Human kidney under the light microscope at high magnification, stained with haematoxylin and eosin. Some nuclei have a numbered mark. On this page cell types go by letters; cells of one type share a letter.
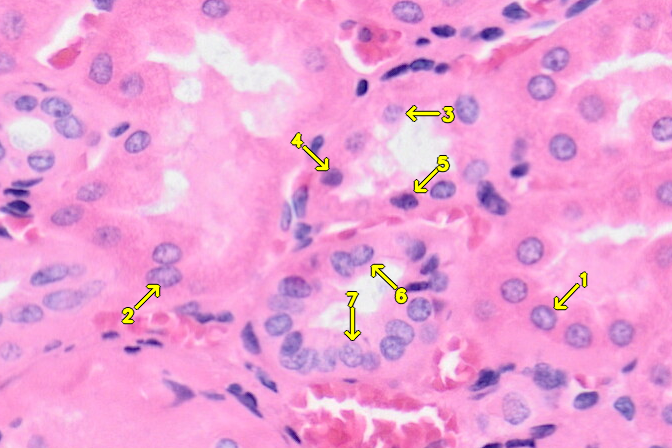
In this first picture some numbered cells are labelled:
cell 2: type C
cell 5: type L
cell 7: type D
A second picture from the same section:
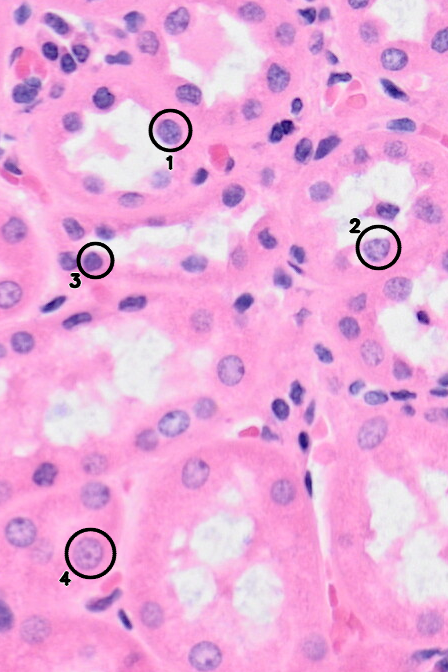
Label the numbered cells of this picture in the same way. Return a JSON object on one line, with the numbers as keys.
{"1": "type L", "2": "type L", "3": "type L", "4": "type C"}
